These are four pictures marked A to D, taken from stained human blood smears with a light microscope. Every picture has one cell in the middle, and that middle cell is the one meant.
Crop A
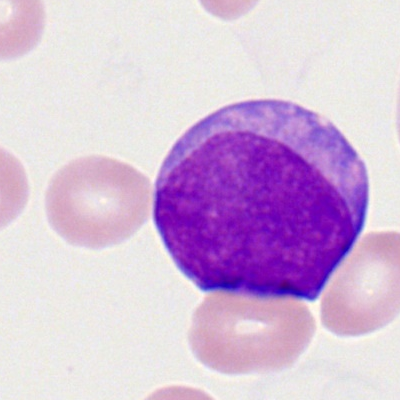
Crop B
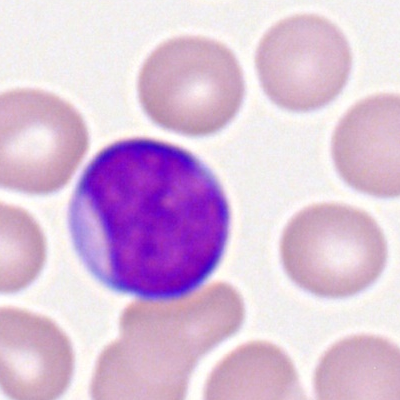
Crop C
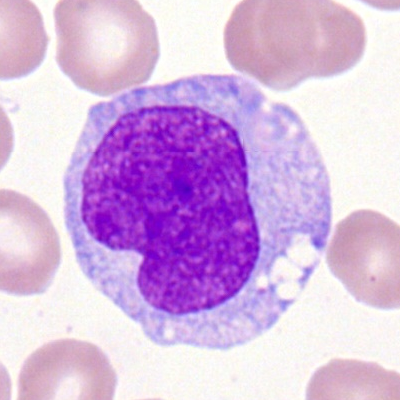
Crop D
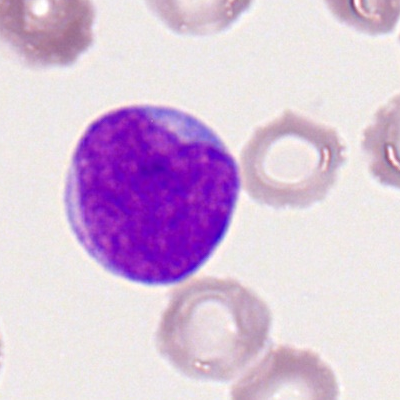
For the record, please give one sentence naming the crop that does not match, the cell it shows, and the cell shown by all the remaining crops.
Crop C differs, its cell being a monocyte, whereas the other crops show myeloblasts.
